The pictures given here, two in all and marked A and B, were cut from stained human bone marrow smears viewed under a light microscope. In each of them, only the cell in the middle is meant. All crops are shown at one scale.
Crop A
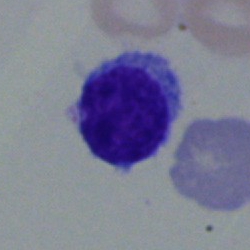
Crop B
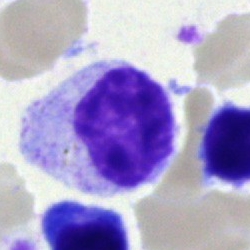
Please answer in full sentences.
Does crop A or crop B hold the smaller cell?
Smaller is the cell in crop A, and the other is about 1.5 times as large in area.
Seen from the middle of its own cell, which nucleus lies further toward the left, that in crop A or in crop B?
In crop A the nucleus is shifted more toward the left.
